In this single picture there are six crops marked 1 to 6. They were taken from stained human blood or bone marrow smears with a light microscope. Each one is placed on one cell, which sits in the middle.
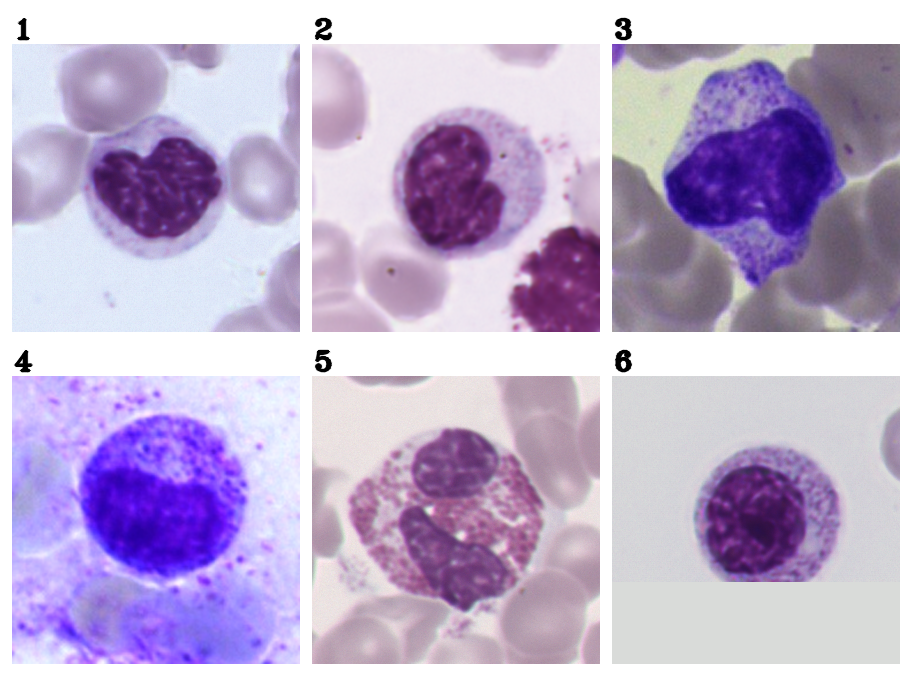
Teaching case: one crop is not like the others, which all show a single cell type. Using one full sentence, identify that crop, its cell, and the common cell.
In crop 5 the central cell is an eosinophil, whereas the other crops all contain metamyelocytes.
